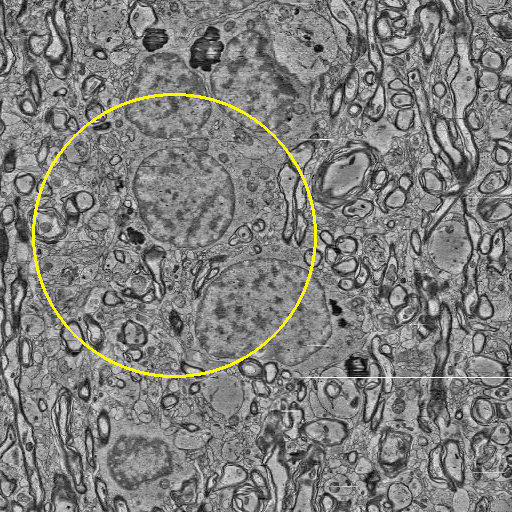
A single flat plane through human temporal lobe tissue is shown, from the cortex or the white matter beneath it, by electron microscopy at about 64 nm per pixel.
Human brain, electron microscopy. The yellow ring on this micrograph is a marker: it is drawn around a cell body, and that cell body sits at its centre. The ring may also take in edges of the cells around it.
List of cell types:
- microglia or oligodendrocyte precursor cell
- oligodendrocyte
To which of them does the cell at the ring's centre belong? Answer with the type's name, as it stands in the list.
oligodendrocyte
